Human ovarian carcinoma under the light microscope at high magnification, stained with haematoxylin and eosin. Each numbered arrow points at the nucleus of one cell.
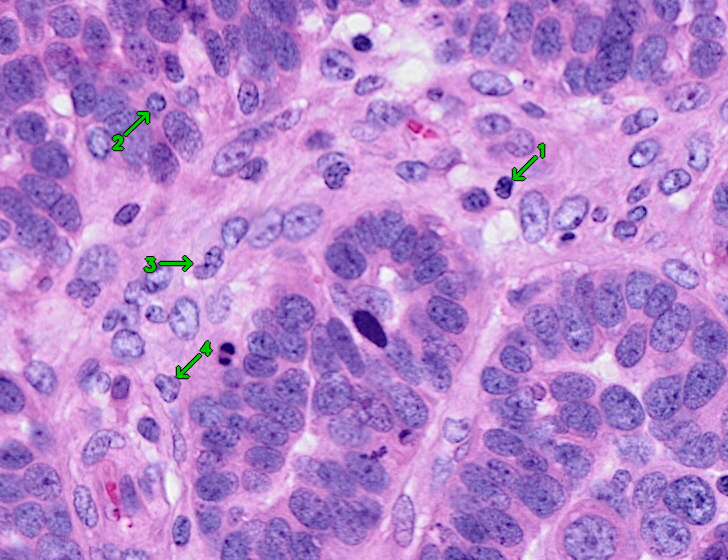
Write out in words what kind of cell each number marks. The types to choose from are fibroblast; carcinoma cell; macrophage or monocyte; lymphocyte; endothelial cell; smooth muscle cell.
Cell 1 is a lymphocyte. Cells 2, 3 and 4 are macrophages or monocytes.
